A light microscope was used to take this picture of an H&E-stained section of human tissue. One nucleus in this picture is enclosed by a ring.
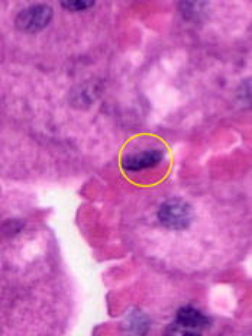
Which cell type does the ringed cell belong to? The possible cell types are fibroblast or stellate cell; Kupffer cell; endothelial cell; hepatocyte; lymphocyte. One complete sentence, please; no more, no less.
In this field of tissue, the ringed cell is an endothelial cell.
